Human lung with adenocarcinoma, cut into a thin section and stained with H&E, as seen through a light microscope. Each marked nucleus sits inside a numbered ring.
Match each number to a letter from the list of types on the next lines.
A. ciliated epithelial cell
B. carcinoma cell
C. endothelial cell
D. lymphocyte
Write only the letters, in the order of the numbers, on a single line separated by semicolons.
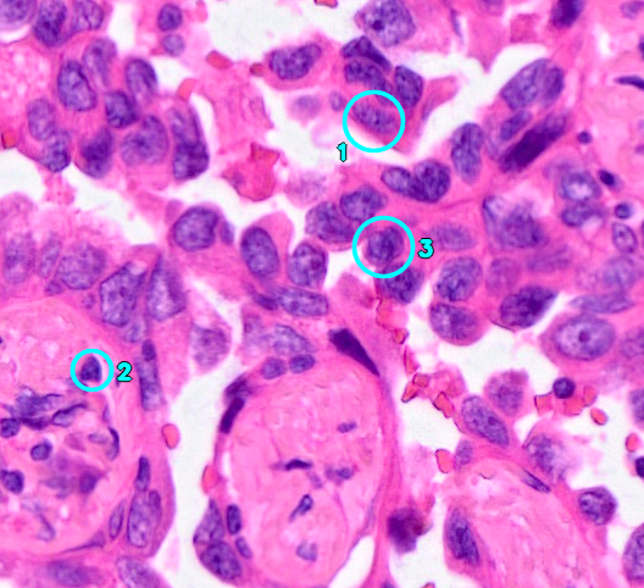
B; D; B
